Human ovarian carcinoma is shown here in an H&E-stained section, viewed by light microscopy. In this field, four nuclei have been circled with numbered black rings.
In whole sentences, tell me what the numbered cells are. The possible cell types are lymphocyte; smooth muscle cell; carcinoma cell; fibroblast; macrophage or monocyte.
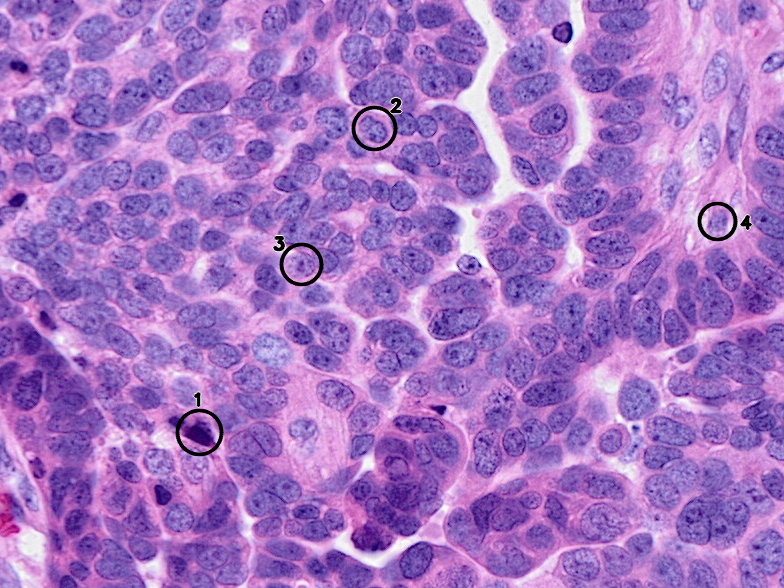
Cells 1, 2 and 3 are carcinoma cells. Cell 4 is a fibroblast.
